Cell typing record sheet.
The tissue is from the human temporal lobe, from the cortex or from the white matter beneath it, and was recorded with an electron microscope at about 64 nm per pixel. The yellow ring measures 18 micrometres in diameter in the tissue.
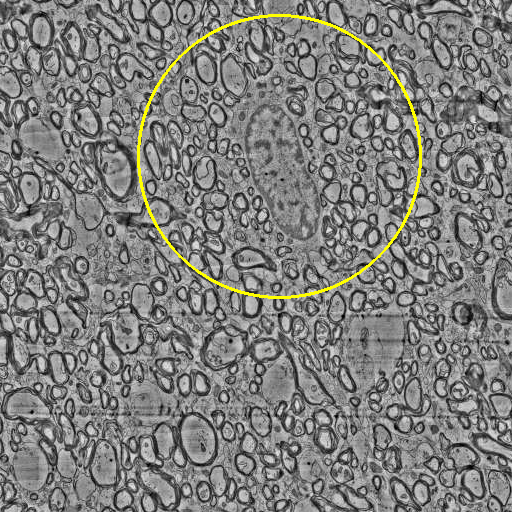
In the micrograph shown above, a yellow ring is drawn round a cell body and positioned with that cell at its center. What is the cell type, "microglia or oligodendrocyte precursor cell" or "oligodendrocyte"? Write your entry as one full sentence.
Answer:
The cell body at the center of the ring belongs to an oligodendrocyte.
